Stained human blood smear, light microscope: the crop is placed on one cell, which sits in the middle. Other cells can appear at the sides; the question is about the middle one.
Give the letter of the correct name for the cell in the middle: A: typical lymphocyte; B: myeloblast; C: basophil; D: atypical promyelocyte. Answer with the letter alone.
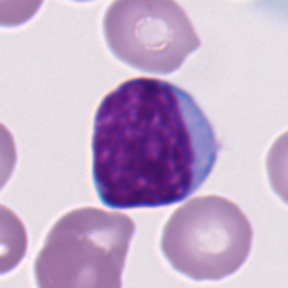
B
